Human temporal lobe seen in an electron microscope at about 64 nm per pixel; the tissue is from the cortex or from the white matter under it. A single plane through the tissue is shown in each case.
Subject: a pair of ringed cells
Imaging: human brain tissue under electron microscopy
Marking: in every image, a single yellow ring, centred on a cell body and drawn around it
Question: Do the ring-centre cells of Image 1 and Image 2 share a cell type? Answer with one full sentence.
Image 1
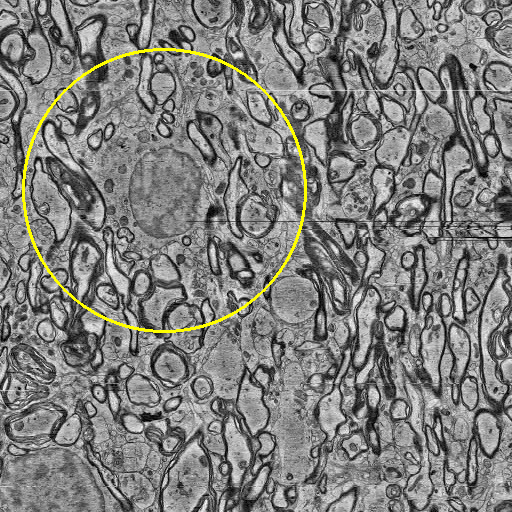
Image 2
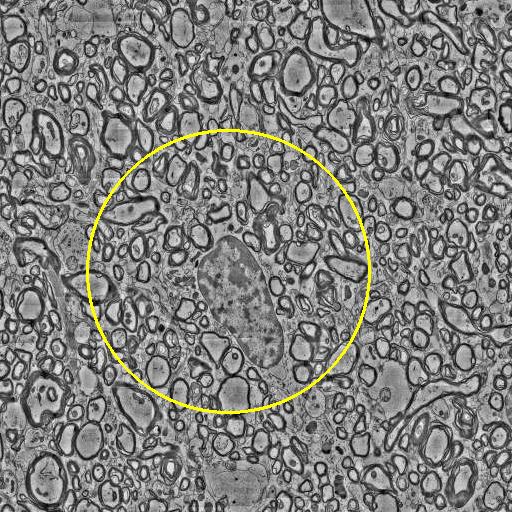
No, at the ring centres in the images sit cells of two separate types.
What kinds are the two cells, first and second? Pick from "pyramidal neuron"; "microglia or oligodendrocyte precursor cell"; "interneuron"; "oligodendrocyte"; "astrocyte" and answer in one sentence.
The second picture holds a microglial cell or oligodendrocyte precursor cell in its ring, and the first holds an oligodendrocyte.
